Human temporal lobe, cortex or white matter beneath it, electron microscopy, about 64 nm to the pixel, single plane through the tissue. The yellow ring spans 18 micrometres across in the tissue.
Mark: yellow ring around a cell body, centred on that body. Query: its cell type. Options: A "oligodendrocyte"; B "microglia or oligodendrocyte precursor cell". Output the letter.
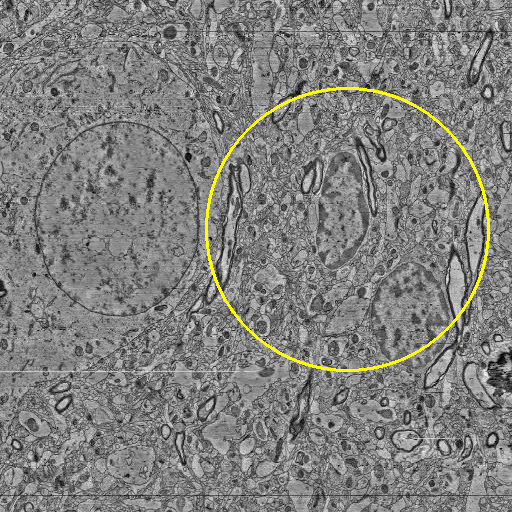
B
